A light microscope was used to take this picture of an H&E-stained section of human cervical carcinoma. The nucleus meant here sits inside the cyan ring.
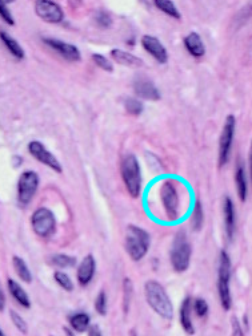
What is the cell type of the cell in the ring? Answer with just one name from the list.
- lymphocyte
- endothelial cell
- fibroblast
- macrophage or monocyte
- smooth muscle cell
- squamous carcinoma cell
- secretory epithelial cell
endothelial cell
